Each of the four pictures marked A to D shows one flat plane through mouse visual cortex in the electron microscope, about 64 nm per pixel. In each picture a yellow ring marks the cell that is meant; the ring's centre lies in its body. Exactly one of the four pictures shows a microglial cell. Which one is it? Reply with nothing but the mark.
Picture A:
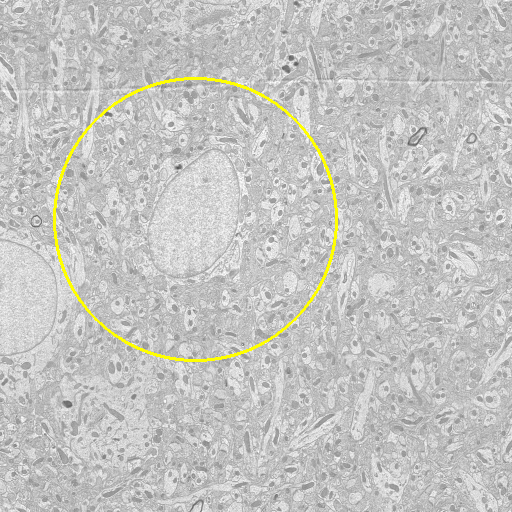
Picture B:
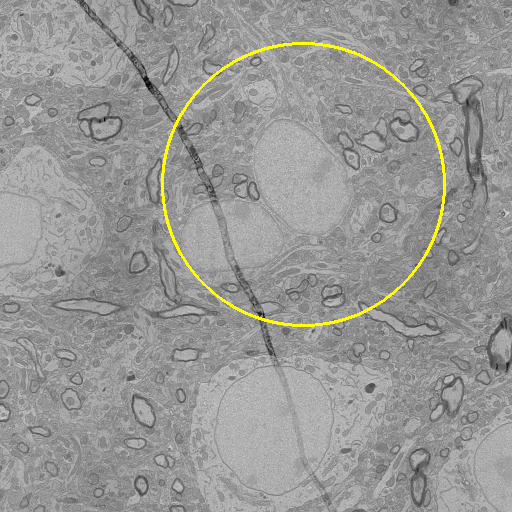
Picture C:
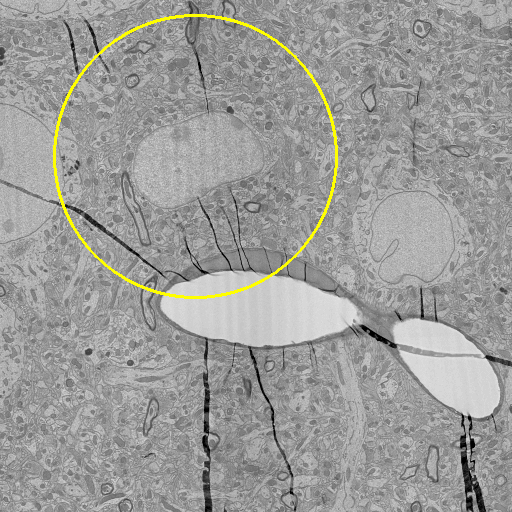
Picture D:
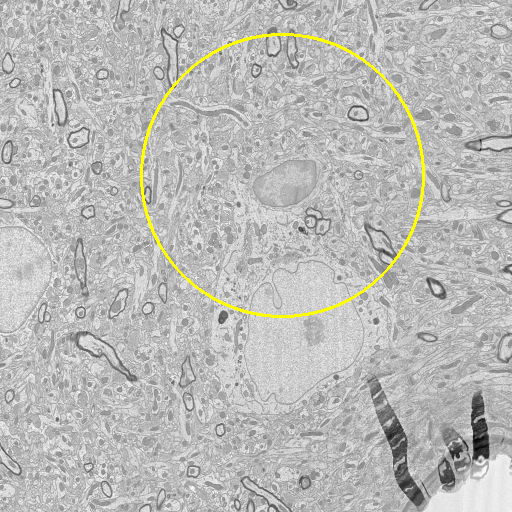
D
